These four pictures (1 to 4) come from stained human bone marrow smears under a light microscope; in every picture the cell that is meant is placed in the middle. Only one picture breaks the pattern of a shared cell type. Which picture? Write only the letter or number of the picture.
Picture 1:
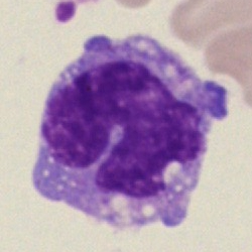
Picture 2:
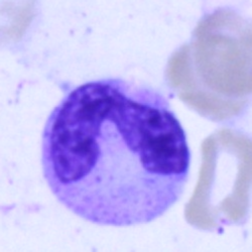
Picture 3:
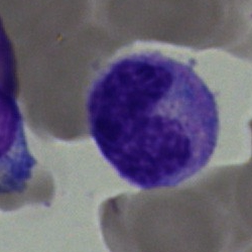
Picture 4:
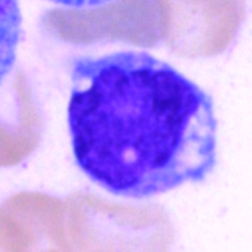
2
